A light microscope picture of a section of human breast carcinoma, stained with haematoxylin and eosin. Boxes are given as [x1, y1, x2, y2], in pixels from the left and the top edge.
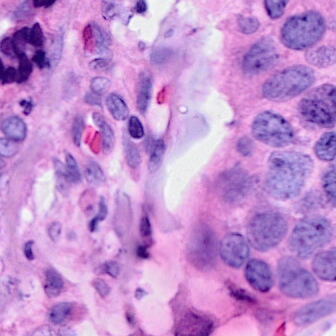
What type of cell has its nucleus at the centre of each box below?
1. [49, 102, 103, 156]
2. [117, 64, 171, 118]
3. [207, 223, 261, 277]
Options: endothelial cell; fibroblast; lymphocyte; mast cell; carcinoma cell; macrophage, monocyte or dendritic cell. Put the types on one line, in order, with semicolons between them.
endothelial cell; endothelial cell; carcinoma cell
